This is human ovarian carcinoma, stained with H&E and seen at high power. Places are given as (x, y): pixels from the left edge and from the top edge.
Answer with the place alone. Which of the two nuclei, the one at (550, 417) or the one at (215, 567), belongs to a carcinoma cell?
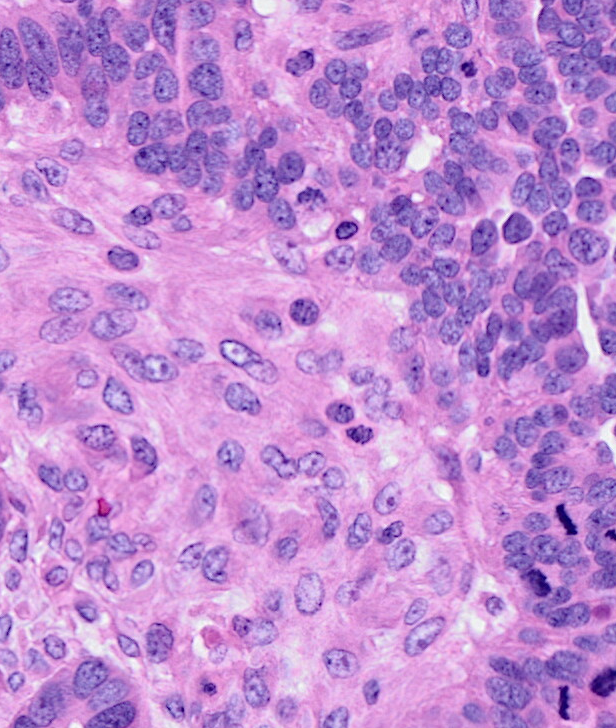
(550, 417)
